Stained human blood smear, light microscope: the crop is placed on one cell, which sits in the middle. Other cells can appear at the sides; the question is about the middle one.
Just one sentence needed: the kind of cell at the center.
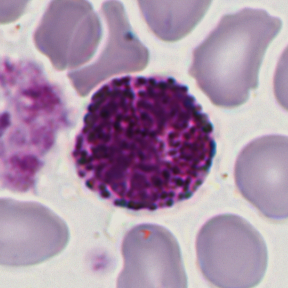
Classified as a basophil is the cell in the middle of this crop.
